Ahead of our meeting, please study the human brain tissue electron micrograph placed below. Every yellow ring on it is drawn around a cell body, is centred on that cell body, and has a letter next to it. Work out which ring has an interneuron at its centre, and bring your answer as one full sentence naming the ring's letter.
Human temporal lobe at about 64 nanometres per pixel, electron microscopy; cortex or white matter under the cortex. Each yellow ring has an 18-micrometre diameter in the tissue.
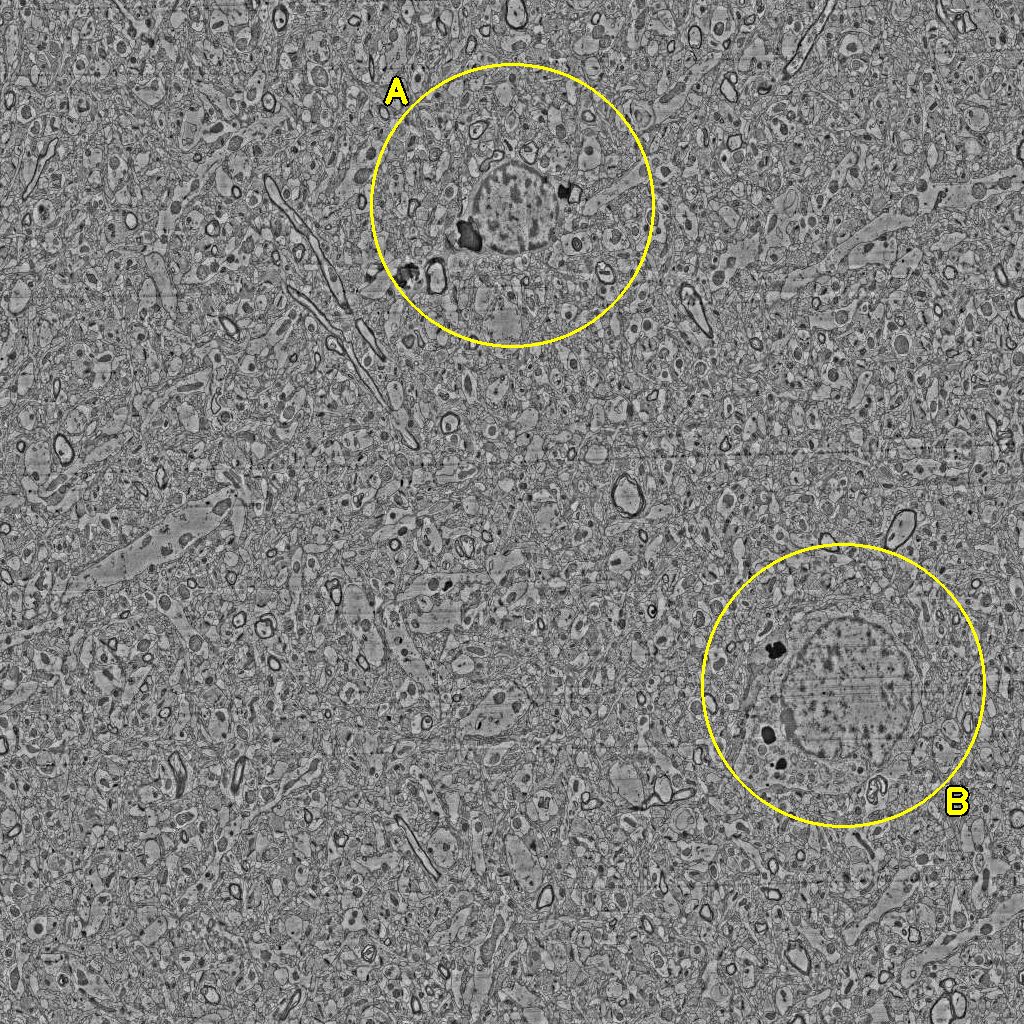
In the micrograph, ring B is the one centred on the cell I was asked to find.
